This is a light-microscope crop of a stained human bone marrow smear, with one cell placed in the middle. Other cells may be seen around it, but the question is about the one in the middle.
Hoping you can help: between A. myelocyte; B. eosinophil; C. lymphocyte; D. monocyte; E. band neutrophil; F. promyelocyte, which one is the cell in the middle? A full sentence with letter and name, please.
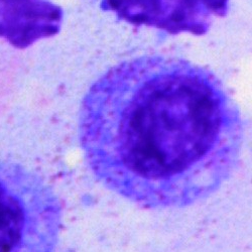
The cell occupying the centre is a myelocyte; option A is thus the correct choice.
